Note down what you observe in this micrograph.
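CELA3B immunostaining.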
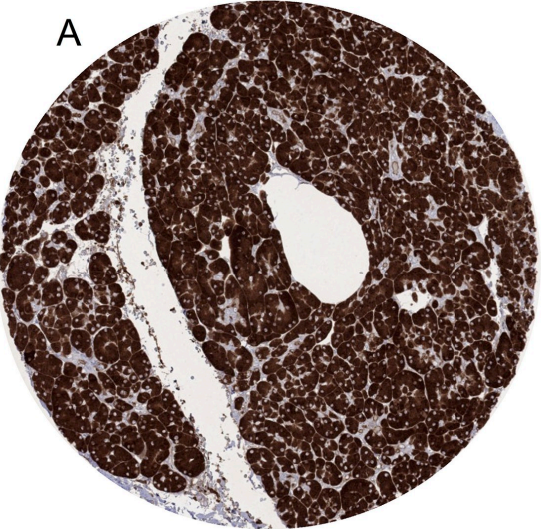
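The field is filled with exocrine pancreatic tissue: countless small rounded acini packed tightly into lobules, their cytoplasm stained intensely dark brown so that nuclei are barely visible. Thin pale blue strands of connective tissue separate the lobules, and a broad clear band of loose tissue runs diagonally between two lobular masses. Within one lobule lies an open, teardrop-shaped lumen lined by a thin wall, likely a duct, and a smaller lumen nearby. The uniform, dense staining across all acini marks this as acinar parenchyma of the pancreas.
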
